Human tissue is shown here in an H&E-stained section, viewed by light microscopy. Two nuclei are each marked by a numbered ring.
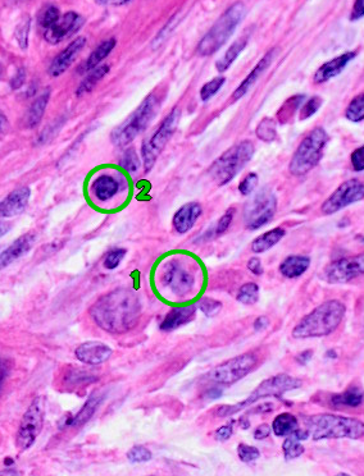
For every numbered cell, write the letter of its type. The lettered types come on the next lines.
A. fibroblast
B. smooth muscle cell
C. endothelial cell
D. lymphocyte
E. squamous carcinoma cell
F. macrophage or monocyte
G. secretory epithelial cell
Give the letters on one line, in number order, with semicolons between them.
F; D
